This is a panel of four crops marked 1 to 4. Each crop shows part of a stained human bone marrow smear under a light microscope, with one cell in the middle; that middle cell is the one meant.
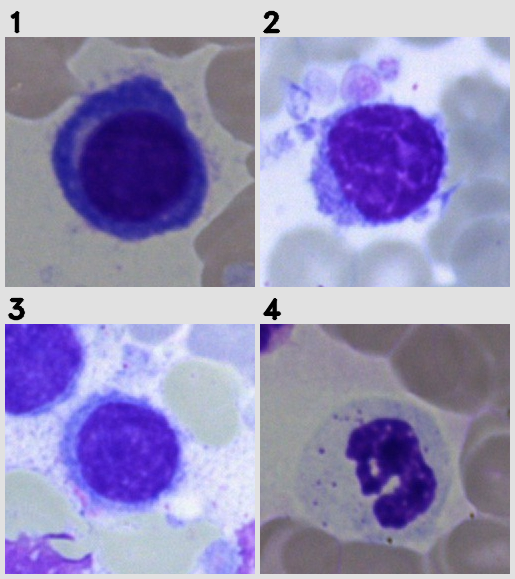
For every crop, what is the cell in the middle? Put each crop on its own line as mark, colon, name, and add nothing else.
1: plasma cell
2: hairy cell
3: hairy cell
4: segmented neutrophil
